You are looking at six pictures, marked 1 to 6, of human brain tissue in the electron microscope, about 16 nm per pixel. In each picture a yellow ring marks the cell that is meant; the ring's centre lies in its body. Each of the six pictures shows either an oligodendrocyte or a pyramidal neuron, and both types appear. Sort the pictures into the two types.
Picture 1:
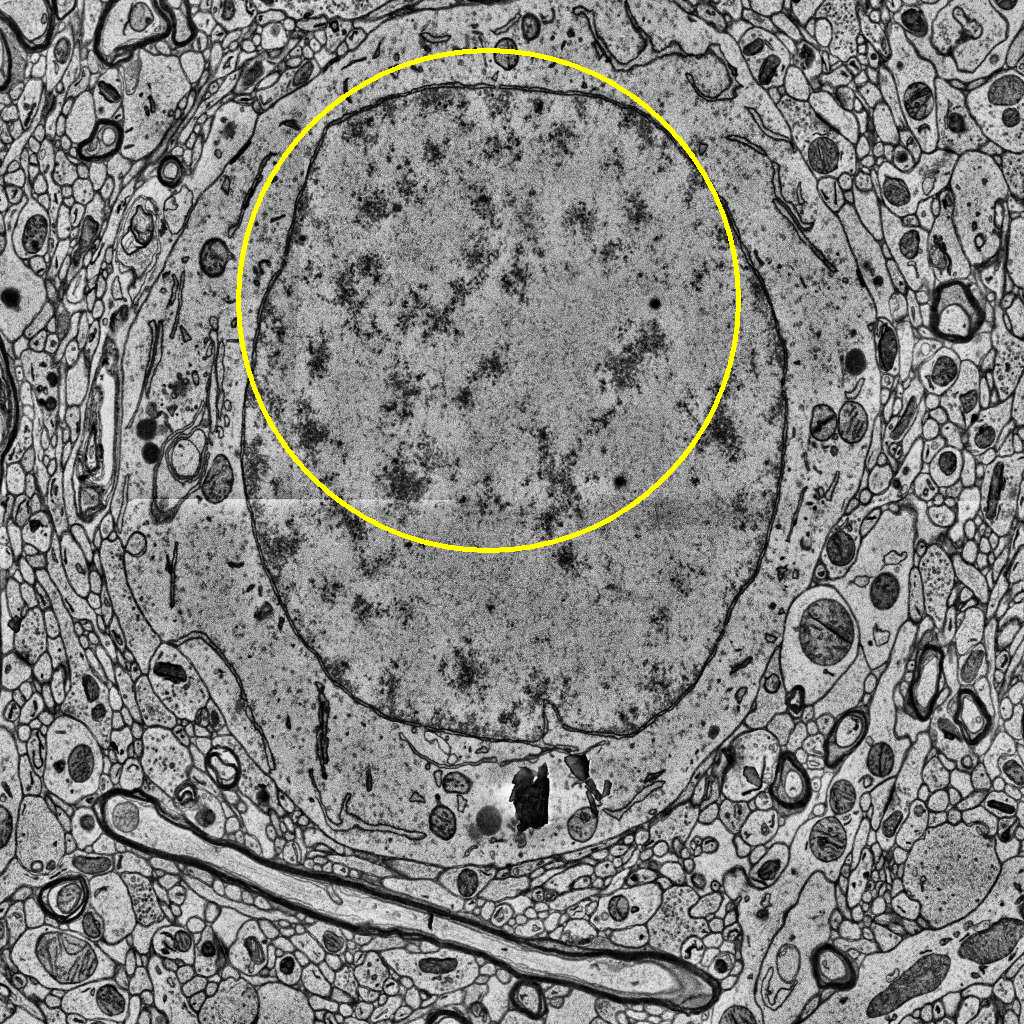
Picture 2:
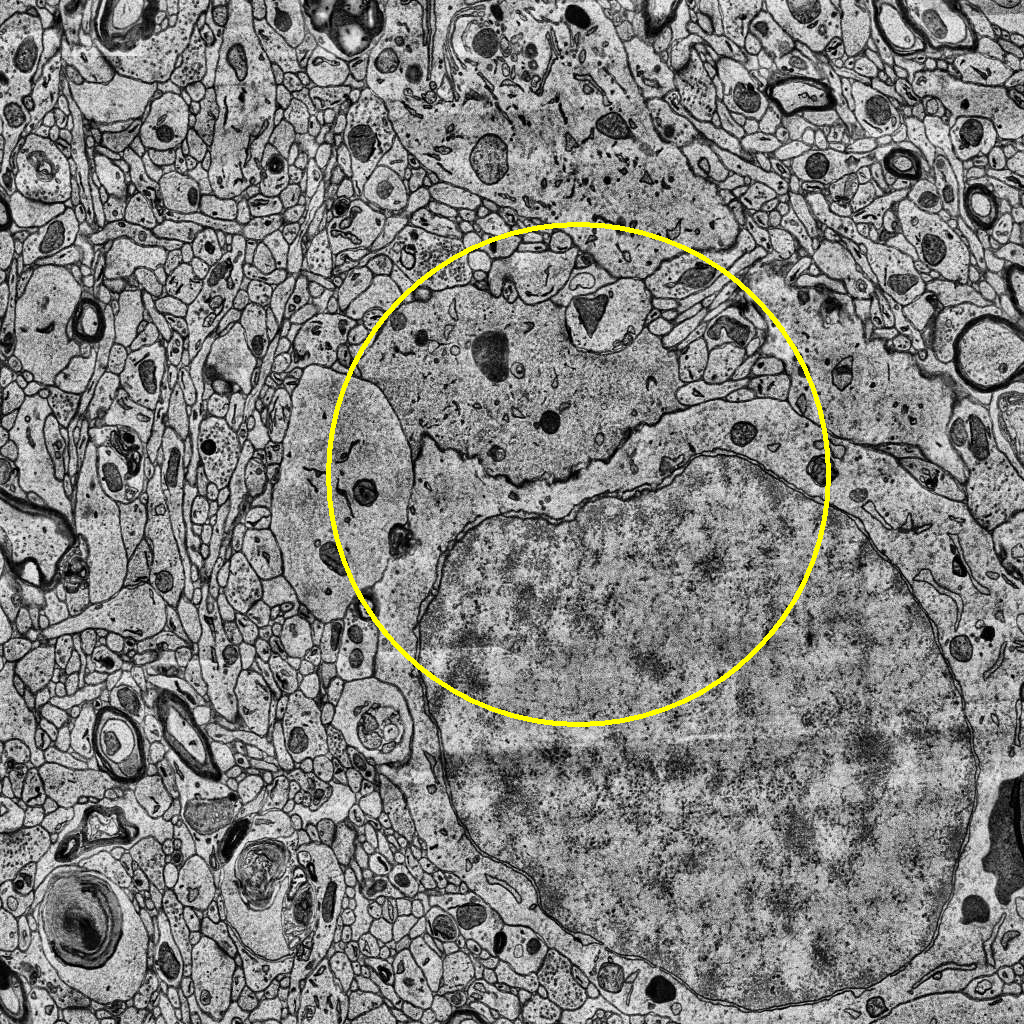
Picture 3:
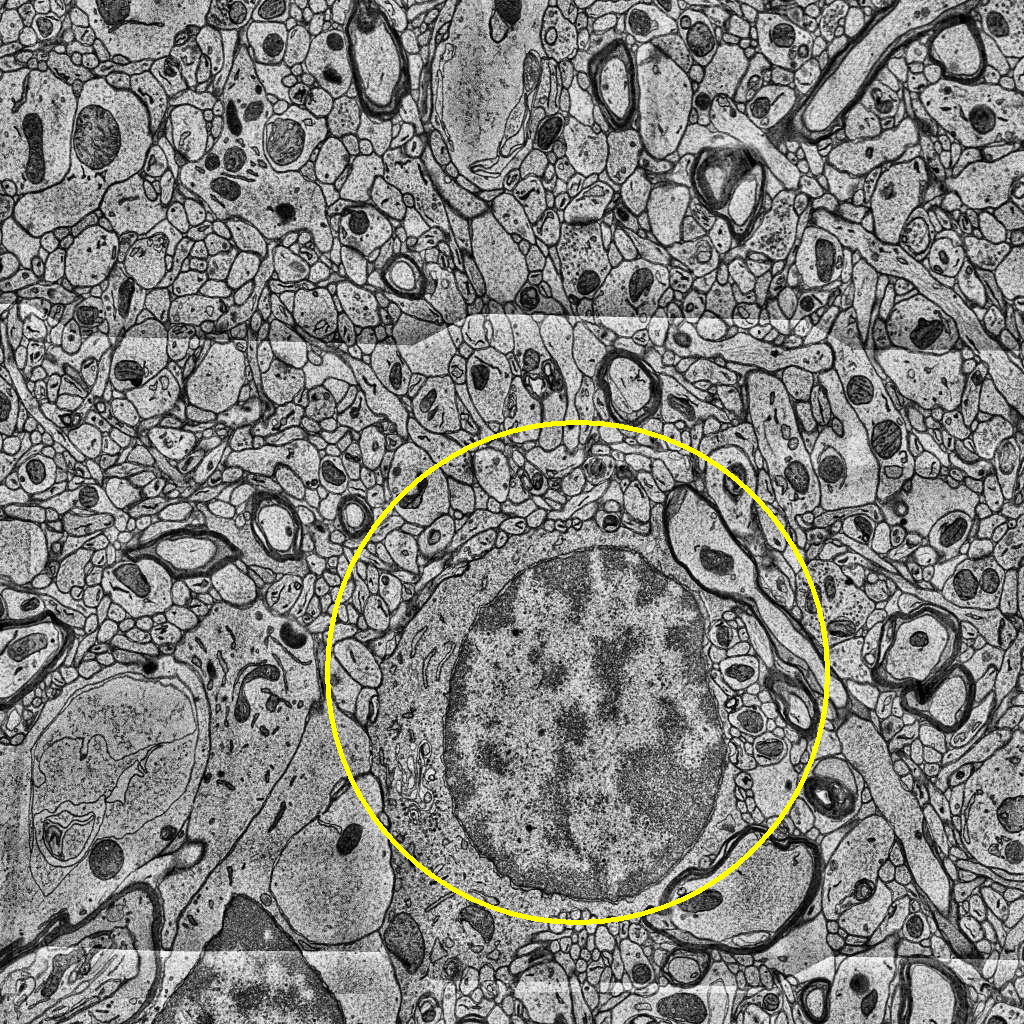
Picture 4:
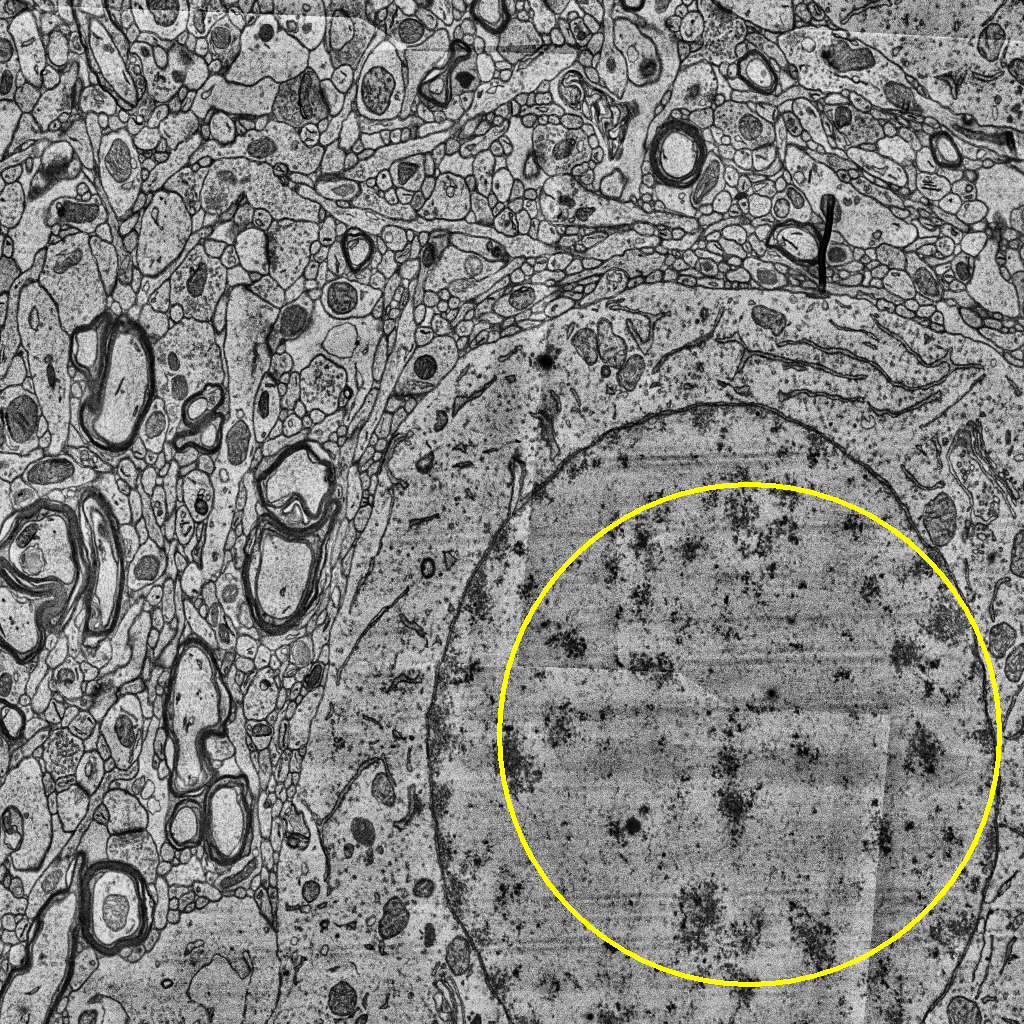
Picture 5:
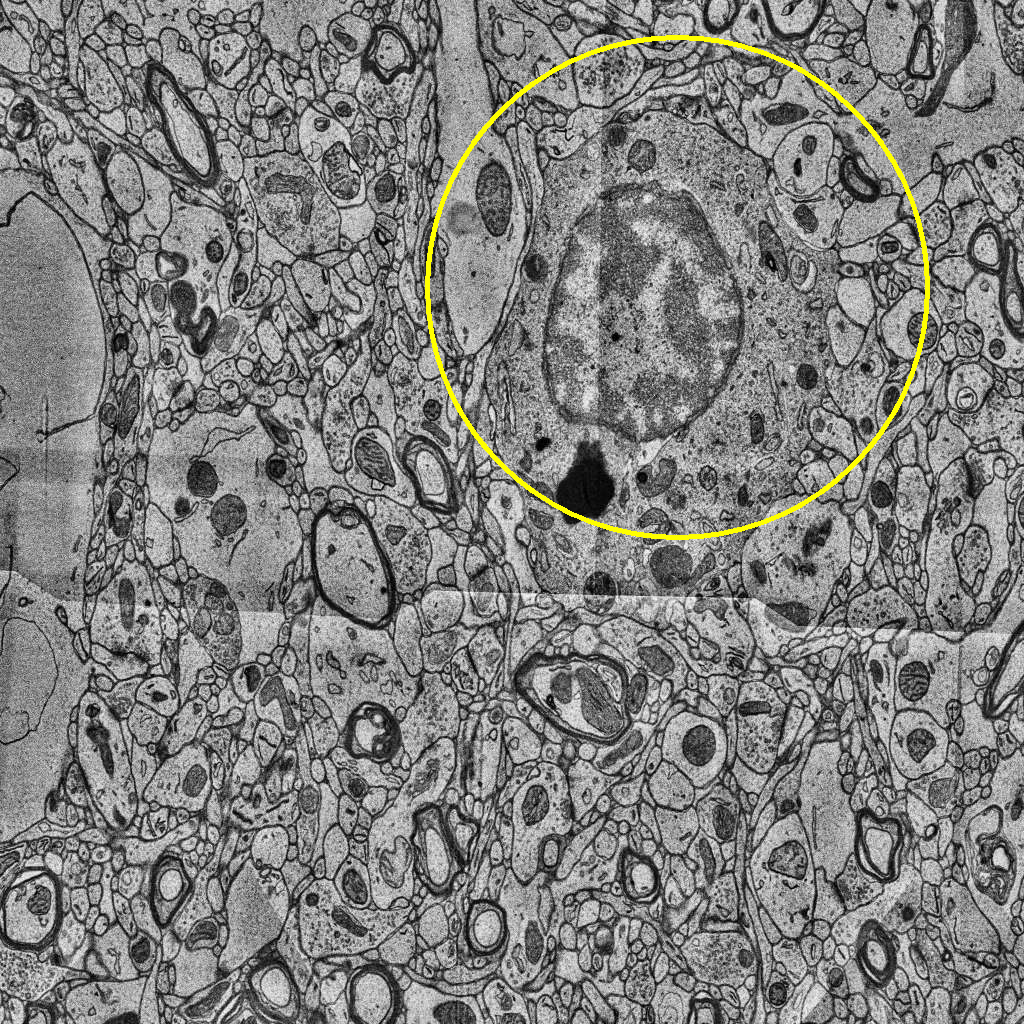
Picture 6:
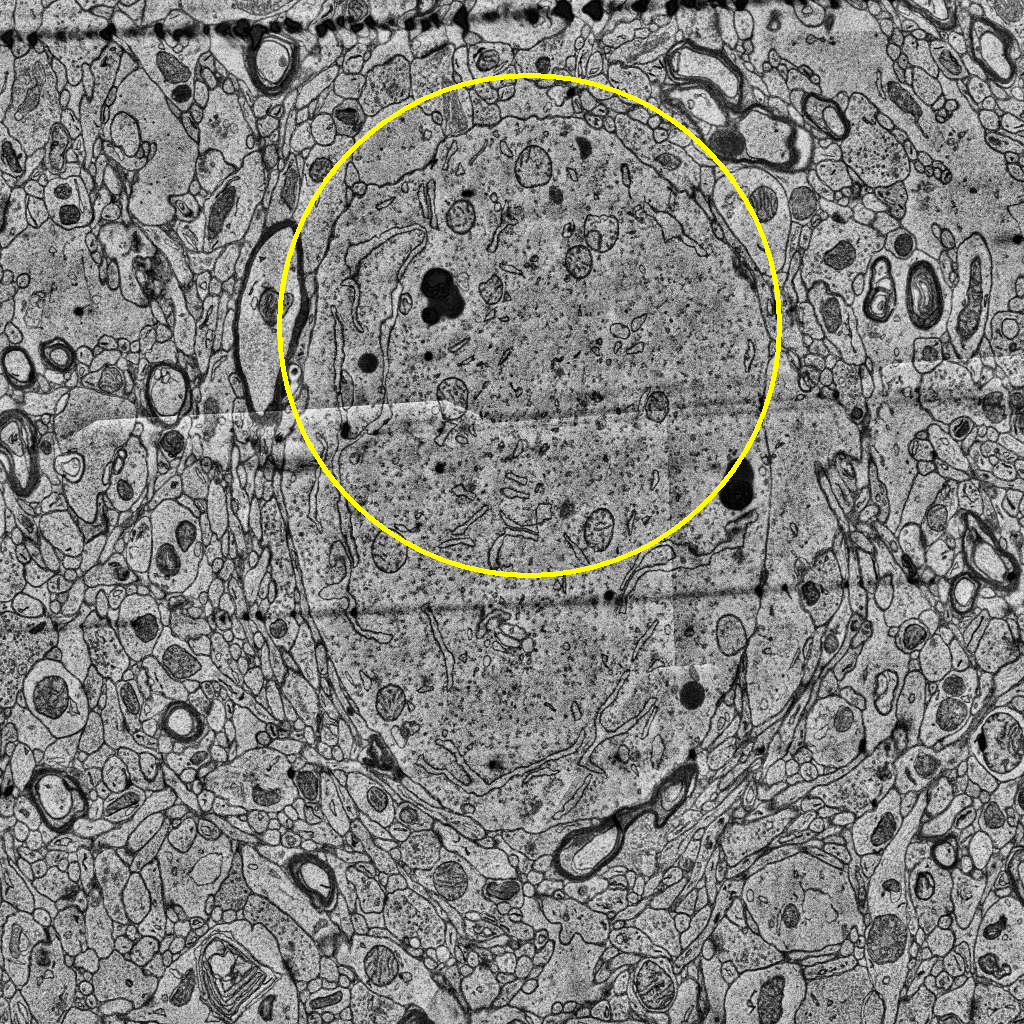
Pictures 2, 3 and 5 show oligodendrocytes; pictures 1, 4 and 6 show pyramidal neurons.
